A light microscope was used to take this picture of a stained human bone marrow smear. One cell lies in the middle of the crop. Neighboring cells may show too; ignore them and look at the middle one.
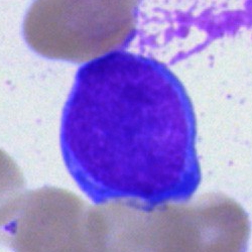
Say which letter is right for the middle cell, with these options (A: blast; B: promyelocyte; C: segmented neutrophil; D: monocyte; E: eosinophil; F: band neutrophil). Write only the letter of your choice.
A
